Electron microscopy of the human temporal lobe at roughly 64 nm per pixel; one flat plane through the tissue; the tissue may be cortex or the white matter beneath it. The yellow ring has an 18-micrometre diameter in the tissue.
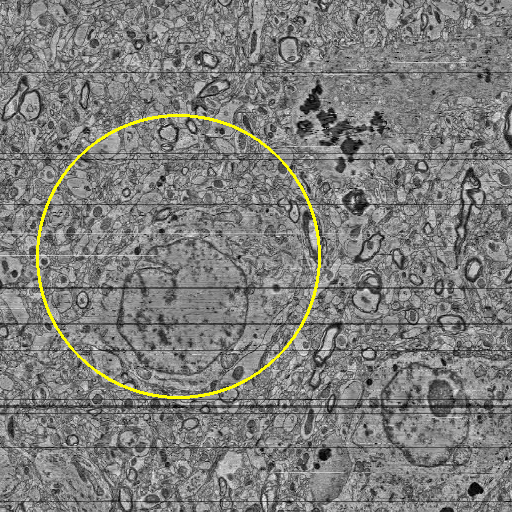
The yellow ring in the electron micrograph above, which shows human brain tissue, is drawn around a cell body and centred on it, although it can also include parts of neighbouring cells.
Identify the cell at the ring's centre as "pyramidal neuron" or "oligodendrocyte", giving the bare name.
pyramidal neuron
